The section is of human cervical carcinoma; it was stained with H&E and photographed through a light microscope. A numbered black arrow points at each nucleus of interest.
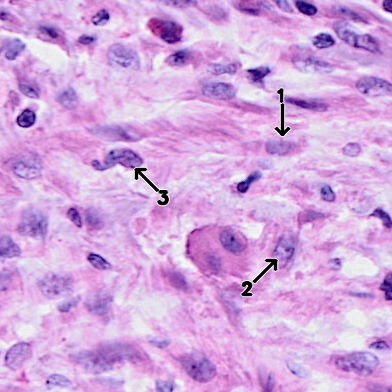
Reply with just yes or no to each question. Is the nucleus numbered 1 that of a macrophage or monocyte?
no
